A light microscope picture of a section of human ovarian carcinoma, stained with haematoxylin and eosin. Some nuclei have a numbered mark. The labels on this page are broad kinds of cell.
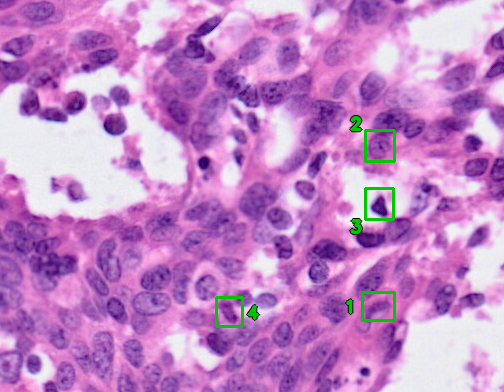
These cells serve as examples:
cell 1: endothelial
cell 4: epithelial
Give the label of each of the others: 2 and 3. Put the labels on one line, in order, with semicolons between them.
epithelial; epithelial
